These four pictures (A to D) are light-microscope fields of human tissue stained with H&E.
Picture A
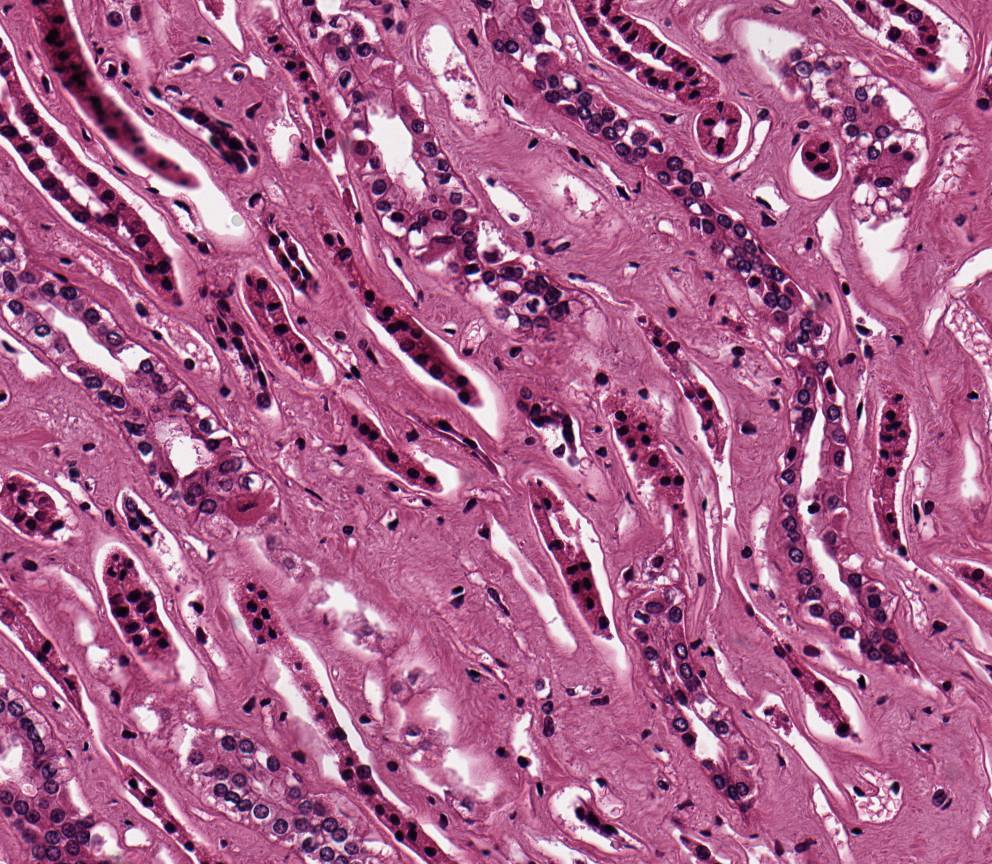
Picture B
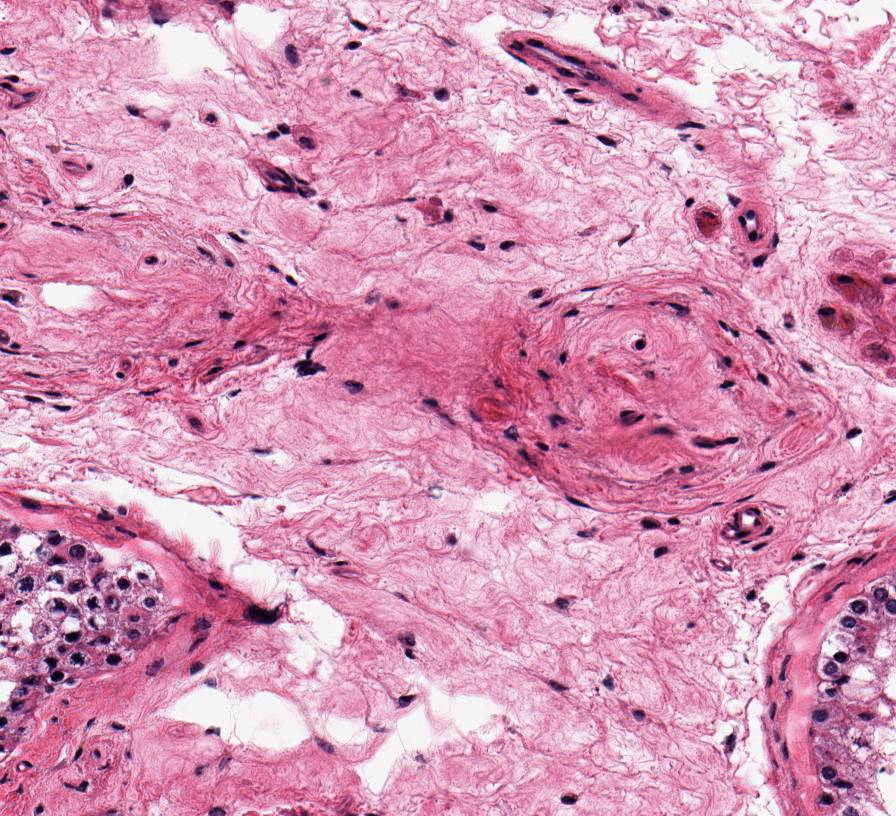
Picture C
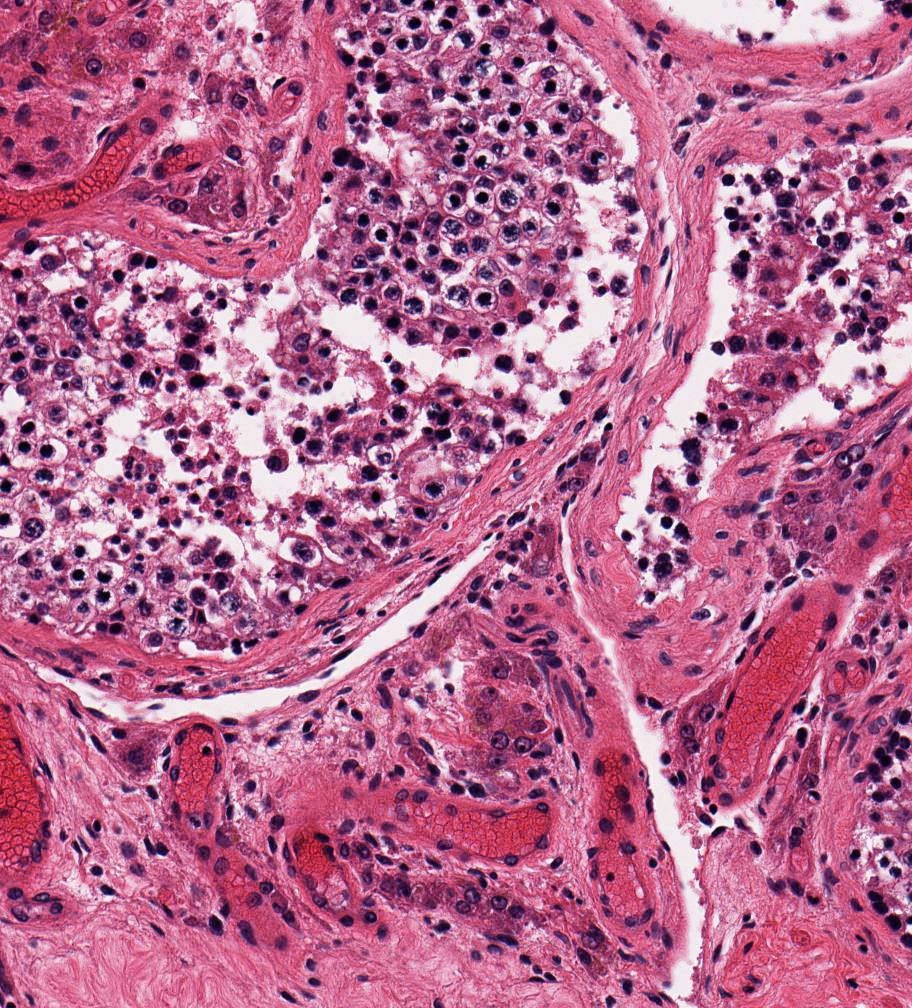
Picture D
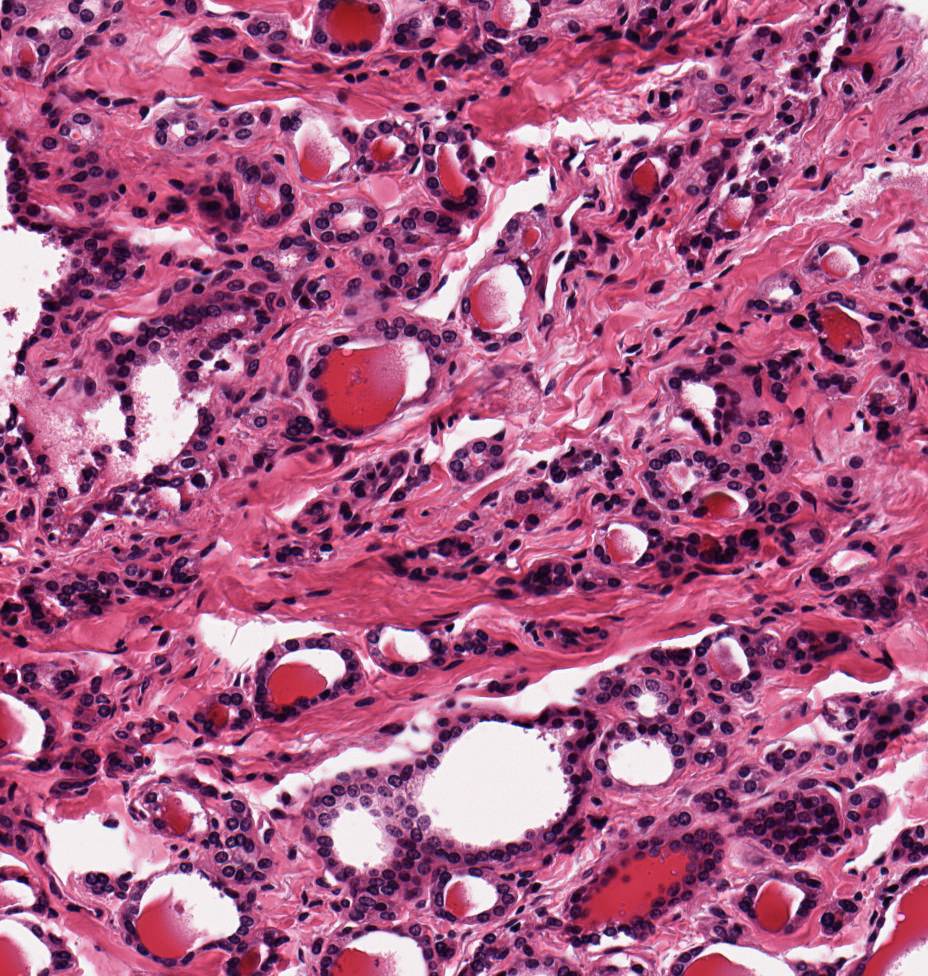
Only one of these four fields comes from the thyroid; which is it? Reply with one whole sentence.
The one that comes from the thyroid is picture D.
